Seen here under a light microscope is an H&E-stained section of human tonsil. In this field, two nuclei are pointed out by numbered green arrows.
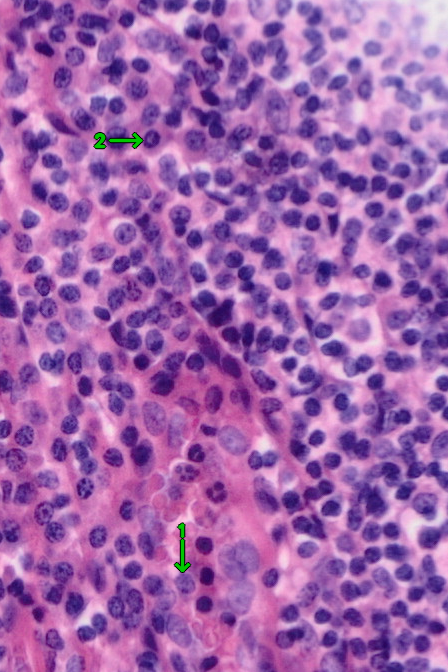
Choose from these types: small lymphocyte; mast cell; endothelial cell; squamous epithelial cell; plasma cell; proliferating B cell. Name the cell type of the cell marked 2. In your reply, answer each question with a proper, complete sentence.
Number 2 is placed on a plasma cell here.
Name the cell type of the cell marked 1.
Cell 1, among those numbered, is an endothelial cell.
